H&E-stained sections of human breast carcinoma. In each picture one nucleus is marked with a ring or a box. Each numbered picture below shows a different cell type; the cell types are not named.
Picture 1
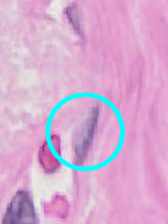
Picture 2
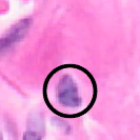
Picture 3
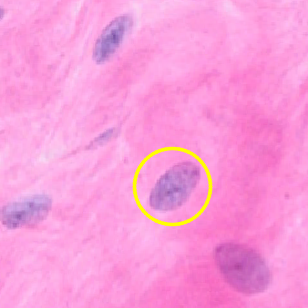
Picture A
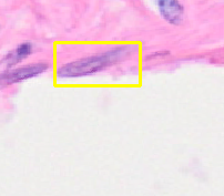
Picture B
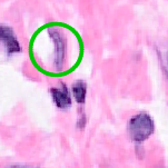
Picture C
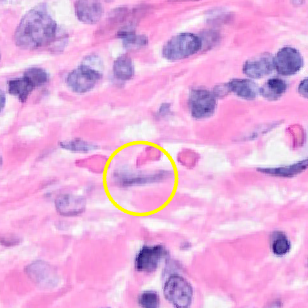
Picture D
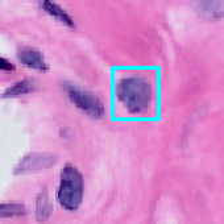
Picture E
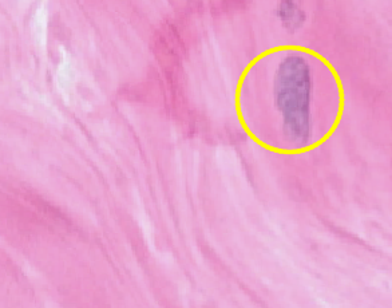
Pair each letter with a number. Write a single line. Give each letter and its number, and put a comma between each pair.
A 1, B 1, C 1, D 2, E 3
